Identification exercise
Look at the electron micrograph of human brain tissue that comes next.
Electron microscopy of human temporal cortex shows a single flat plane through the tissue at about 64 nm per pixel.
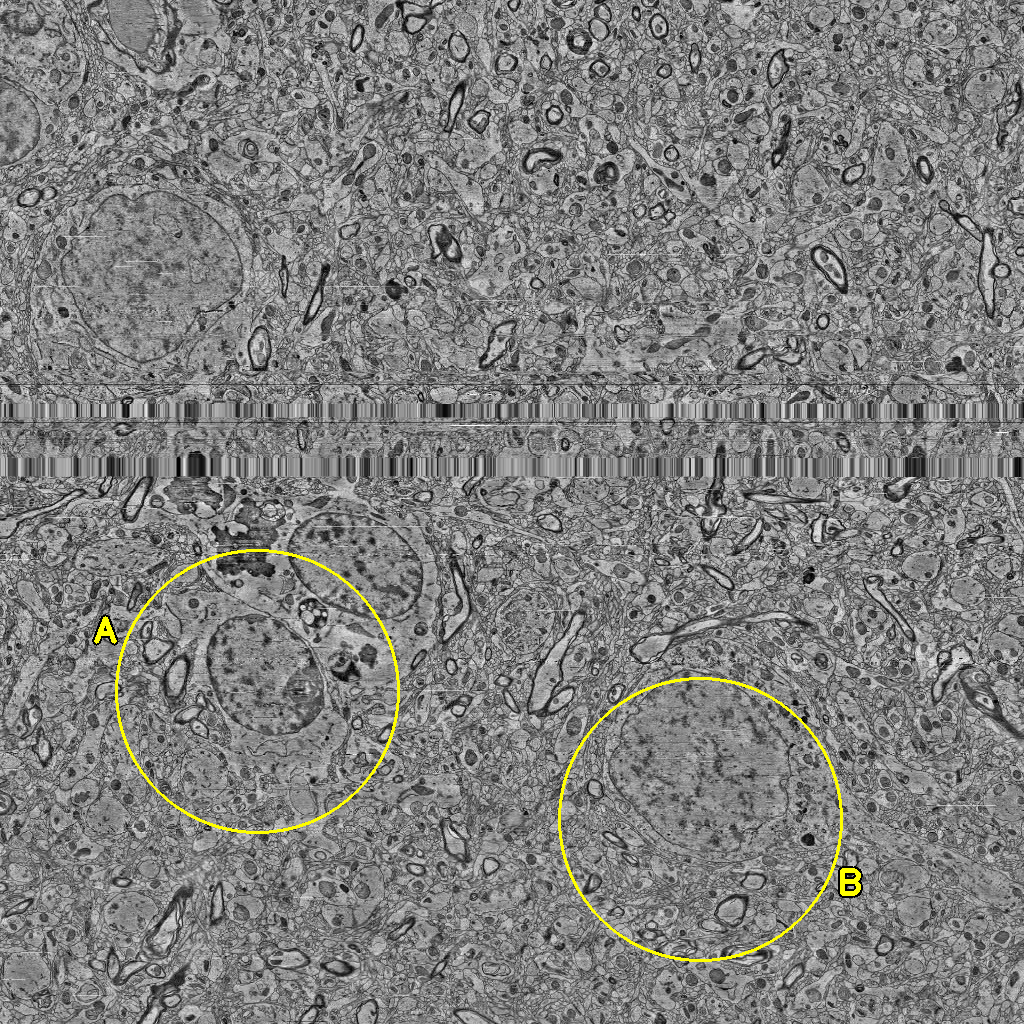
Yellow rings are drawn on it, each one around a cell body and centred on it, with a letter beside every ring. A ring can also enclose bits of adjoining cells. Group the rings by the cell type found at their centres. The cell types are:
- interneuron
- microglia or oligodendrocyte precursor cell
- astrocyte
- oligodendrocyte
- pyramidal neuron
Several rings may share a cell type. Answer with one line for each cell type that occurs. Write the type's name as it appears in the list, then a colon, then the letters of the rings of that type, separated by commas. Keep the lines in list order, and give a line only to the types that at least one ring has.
astrocyte: A
pyramidal neuron: B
